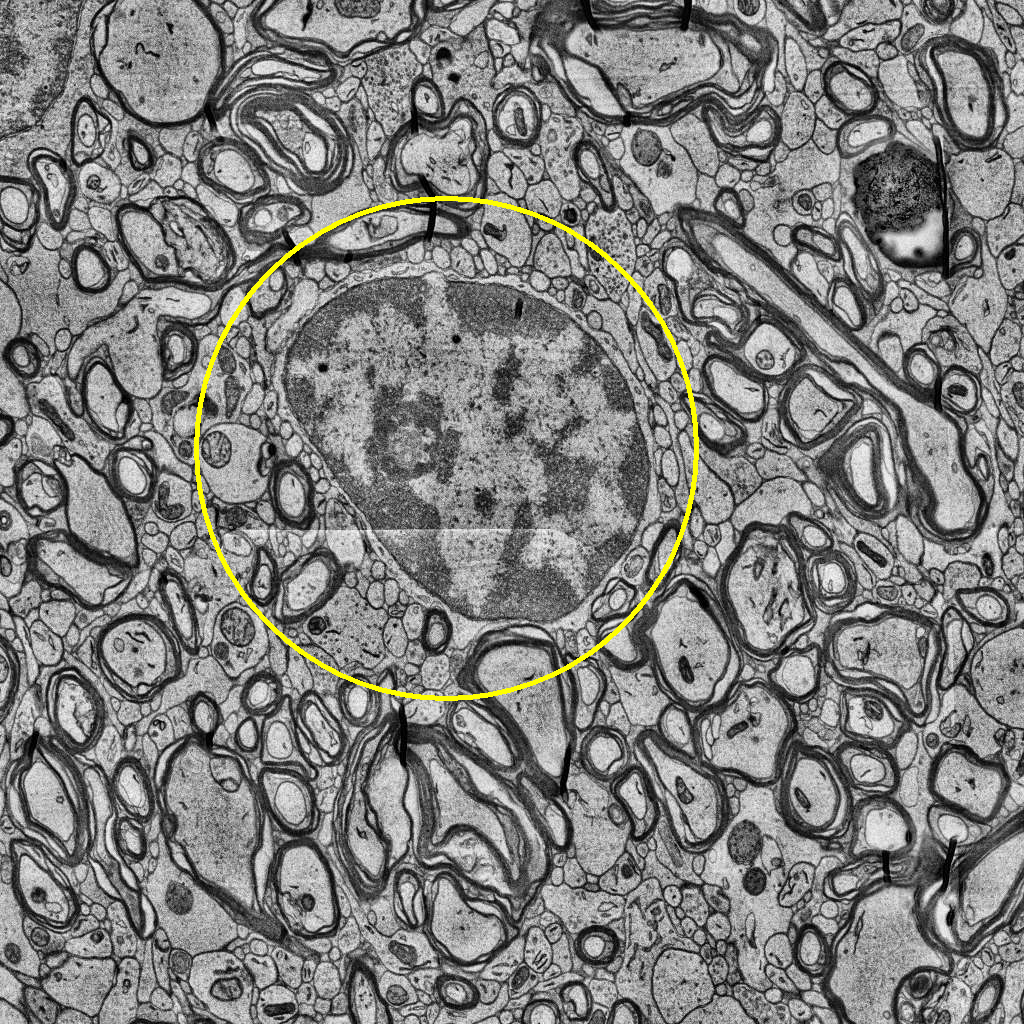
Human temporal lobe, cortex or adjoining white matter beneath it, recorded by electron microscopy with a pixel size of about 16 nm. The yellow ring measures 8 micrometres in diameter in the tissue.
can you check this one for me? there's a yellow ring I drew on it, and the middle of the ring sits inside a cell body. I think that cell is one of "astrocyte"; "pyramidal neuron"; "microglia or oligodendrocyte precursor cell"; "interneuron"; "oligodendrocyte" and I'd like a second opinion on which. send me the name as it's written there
microglia or oligodendrocyte precursor cell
